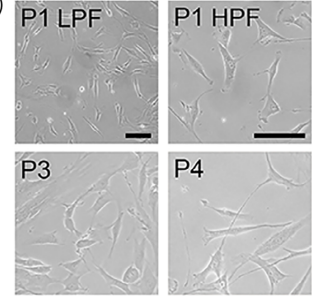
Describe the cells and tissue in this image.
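The low-power field shows scattered small cells, most of them elongated and spindle-shaped, lying apart from one another on the dish surface. At higher power, the cells are bipolar or stellate. The cell edges are bright against the grey background. In the later fields, the cells lie closer together and their long slender processes cross or touch.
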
